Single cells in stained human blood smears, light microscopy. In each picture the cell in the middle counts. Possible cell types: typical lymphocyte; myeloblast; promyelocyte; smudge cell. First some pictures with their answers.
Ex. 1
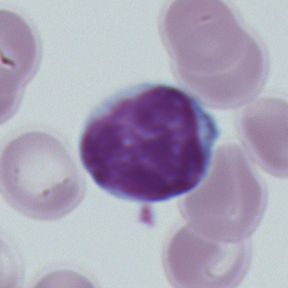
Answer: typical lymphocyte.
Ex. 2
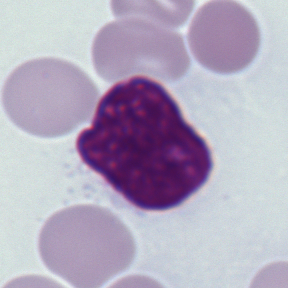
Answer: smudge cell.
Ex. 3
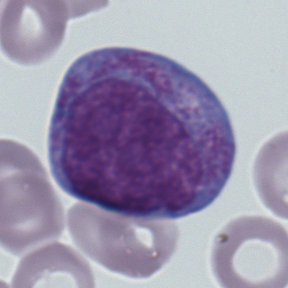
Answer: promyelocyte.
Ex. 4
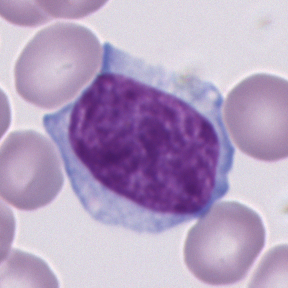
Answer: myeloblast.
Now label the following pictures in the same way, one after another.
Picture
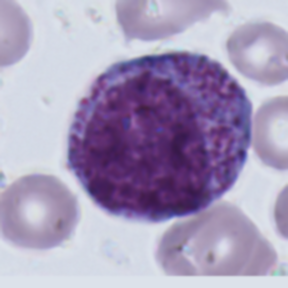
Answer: promyelocyte.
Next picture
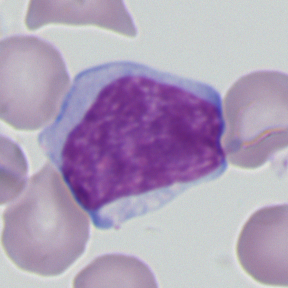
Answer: myeloblast.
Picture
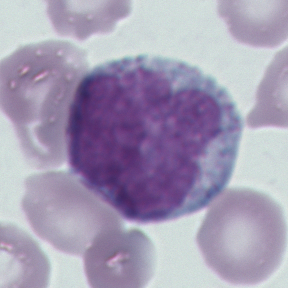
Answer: promyelocyte.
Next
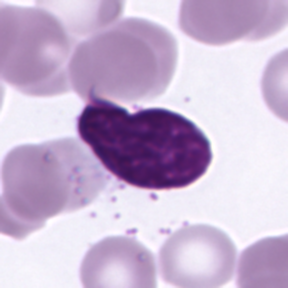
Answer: smudge cell.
